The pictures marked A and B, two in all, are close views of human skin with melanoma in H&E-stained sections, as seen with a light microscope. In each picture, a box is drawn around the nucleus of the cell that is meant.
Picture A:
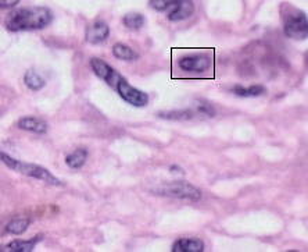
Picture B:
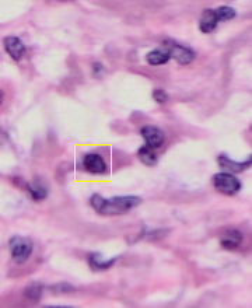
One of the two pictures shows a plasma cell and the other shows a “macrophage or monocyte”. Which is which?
A: macrophage or monocyte
B: plasma cell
